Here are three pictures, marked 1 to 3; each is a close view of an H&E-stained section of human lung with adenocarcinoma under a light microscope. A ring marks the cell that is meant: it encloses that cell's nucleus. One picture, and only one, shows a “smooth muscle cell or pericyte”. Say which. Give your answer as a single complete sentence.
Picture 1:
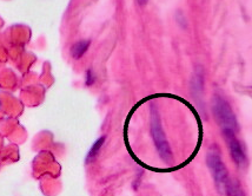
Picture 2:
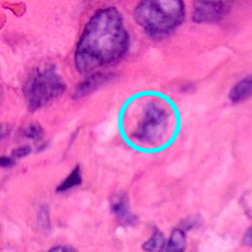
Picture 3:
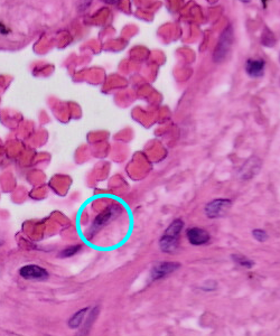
Picture 1 shows the “smooth muscle cell or pericyte”.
